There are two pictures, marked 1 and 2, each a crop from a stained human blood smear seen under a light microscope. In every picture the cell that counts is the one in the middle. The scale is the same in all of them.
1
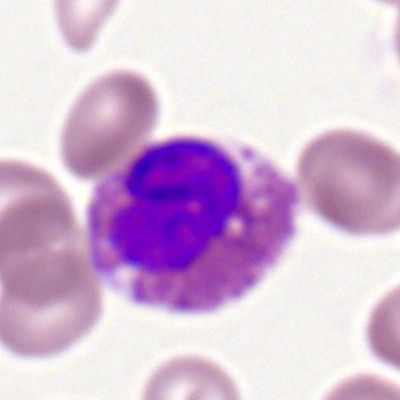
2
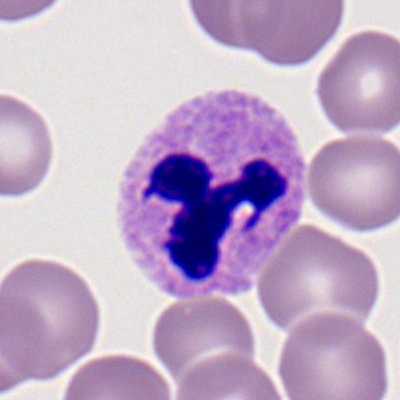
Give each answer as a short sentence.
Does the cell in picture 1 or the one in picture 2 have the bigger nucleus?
It is the nucleus in picture 1, about 1.5 times as large in area as the one in picture 2.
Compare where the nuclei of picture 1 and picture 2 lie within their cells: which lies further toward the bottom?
The nucleus in picture 2 lies further toward the bottom of its cell.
